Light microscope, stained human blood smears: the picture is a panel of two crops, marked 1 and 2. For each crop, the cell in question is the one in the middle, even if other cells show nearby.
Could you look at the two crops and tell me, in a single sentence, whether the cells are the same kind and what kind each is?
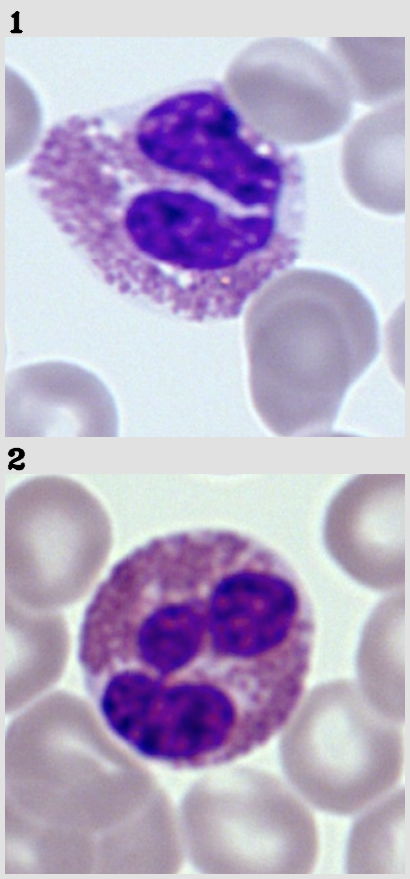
Yes, the two crops show eosinophils at their centres.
